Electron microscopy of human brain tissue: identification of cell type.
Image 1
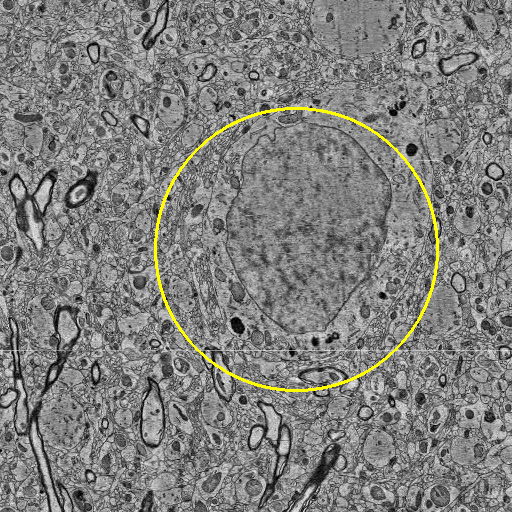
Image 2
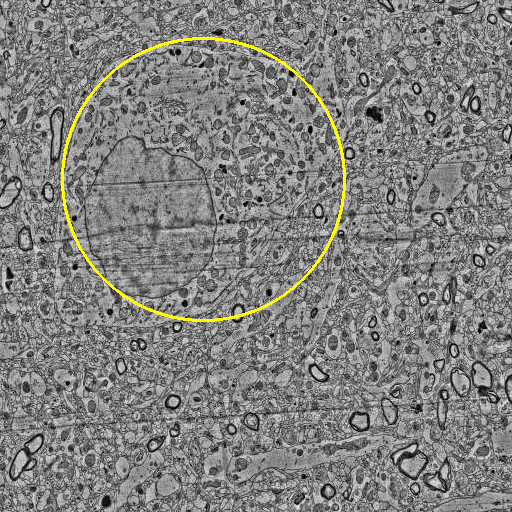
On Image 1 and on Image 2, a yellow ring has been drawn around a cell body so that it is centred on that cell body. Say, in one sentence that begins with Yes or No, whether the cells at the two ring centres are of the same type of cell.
No, the two cells are two separate types of cell.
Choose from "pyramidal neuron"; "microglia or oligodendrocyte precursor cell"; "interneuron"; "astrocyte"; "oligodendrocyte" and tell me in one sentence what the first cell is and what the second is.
What the first ring is centred on is a pyramidal neuron; what the second ring is centred on is an interneuron.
